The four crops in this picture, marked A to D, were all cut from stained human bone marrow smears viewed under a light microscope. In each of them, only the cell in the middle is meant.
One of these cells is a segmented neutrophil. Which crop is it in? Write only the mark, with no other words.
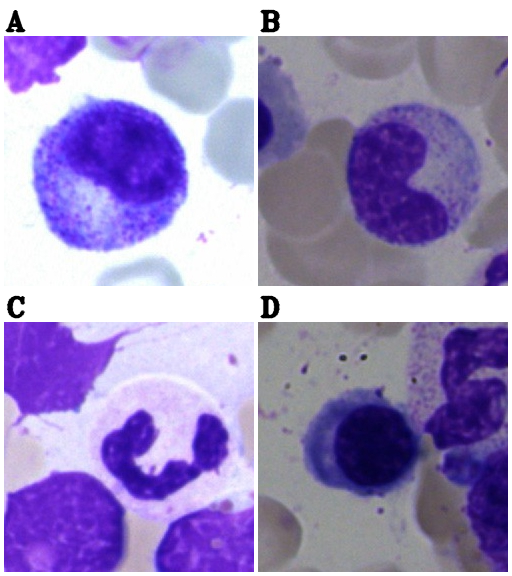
C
